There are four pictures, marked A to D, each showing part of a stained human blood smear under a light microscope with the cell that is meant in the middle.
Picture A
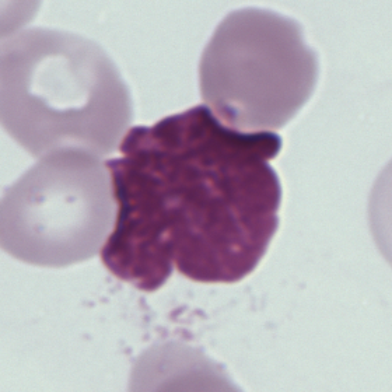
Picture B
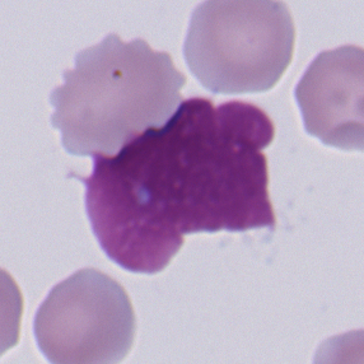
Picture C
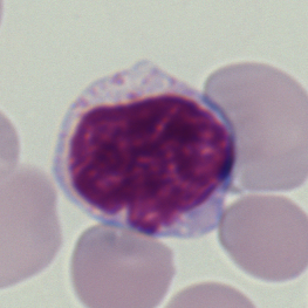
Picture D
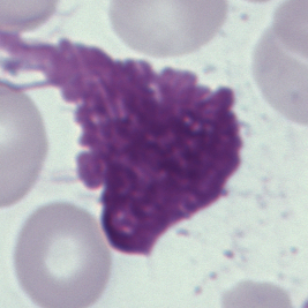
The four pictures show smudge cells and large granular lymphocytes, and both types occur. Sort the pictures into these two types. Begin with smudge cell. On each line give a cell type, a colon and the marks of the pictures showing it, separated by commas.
smudge cell: A, B, D
large granular lymphocyte: C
